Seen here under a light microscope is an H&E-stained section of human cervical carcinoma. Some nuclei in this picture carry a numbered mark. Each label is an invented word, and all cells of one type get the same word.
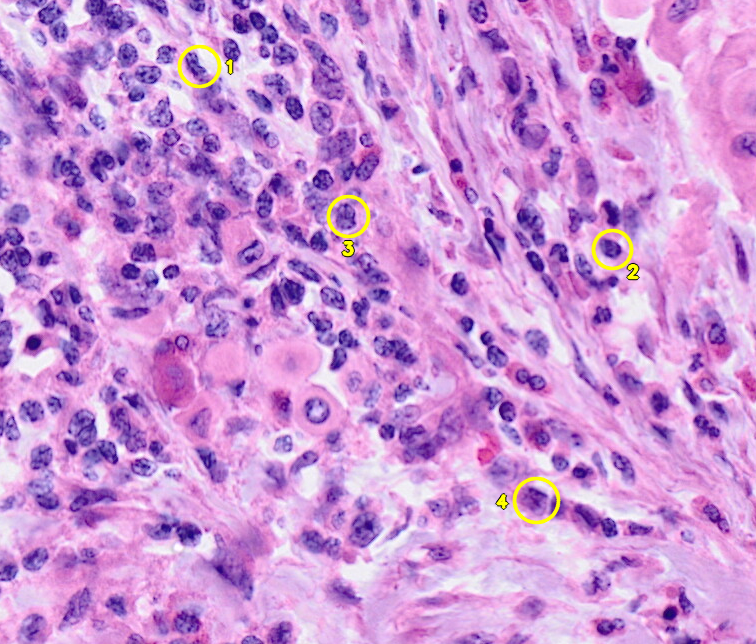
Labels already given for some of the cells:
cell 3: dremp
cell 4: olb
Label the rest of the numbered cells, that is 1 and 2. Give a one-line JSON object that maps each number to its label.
{"1": "dremp", "2": "dremp"}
